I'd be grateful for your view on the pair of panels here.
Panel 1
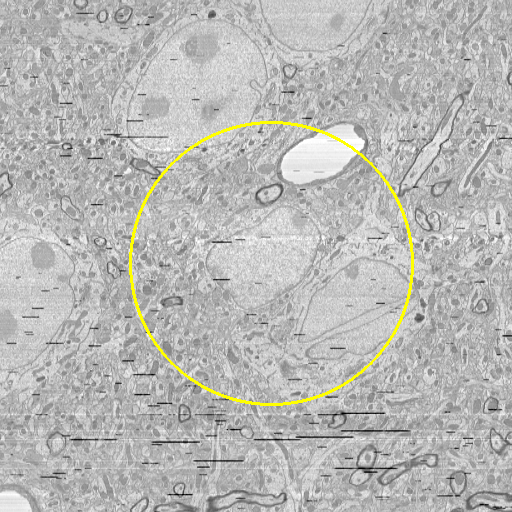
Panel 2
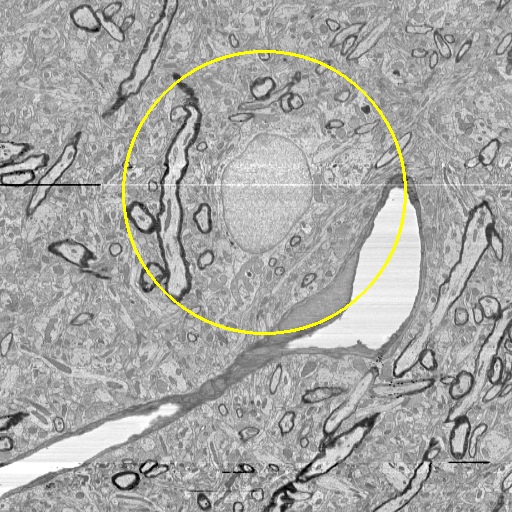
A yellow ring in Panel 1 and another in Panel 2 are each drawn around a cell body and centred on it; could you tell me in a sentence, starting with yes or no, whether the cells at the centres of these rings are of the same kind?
Yes, they are the same kind of cell.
